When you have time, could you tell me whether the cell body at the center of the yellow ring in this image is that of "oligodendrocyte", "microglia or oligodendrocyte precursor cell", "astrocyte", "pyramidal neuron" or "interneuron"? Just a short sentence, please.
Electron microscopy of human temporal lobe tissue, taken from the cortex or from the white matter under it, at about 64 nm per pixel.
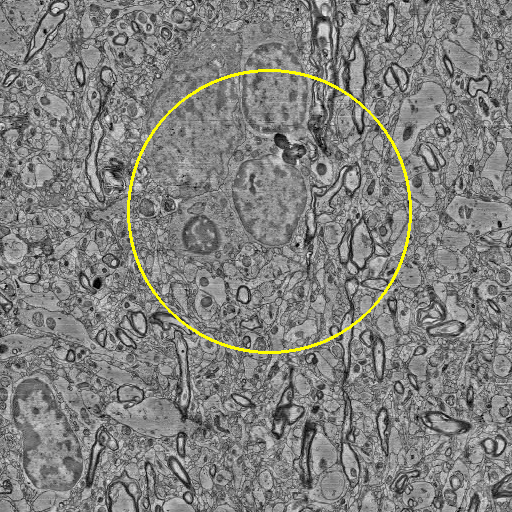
The cell body at the center of the ring is that of an oligodendrocyte.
